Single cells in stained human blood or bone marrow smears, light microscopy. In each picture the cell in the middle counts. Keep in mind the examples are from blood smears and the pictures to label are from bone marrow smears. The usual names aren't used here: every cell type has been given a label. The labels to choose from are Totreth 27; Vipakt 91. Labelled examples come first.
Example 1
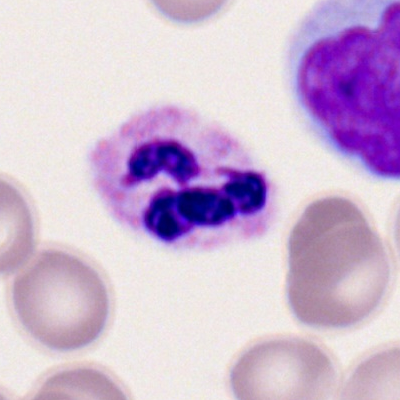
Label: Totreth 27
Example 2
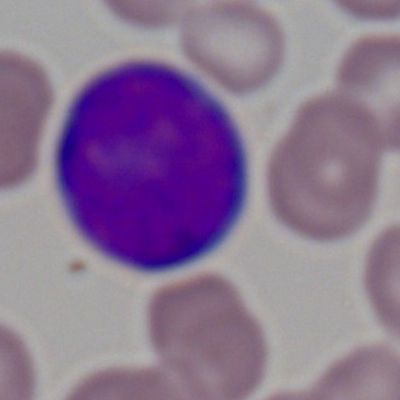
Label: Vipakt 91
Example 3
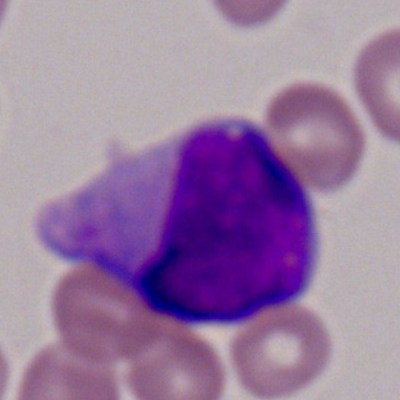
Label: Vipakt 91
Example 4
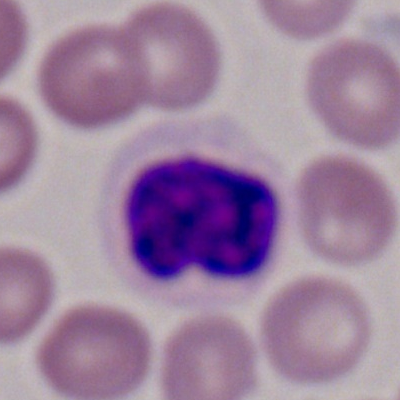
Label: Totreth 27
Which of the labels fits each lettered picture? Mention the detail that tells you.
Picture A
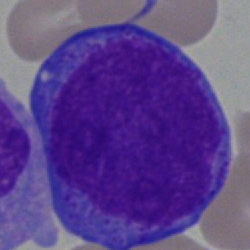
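Vipakt 91. Evidence: The cytoplasm forms only a narrow rim around the nucleus.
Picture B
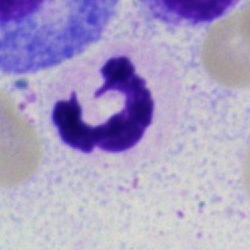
Totreth 27. Evidence: The nucleus is a curved band bent into a C shape.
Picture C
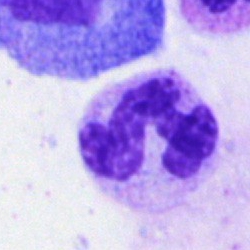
Totreth 27. Evidence: The nucleus is a curved band bent into an arch that opens downward.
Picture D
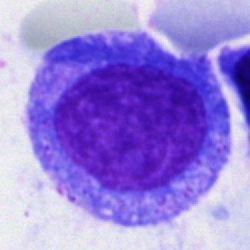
Vipakt 91. Evidence: The chromatin is finely granular rather than coarsely clumped.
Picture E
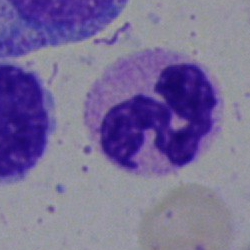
Totreth 27. Evidence: The chromatin is dark purple and coarsely clumped.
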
